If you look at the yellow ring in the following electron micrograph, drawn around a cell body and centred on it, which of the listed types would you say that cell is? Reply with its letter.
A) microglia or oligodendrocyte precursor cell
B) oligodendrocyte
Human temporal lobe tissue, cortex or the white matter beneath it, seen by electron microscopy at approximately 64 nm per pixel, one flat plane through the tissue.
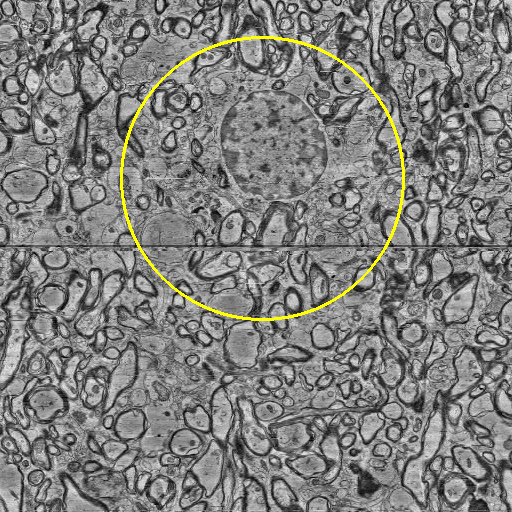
A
